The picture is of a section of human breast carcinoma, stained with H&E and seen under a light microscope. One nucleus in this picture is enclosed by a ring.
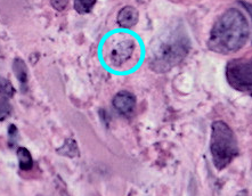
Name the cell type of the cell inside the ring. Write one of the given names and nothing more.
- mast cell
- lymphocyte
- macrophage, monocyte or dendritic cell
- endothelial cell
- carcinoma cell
macrophage, monocyte or dendritic cell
